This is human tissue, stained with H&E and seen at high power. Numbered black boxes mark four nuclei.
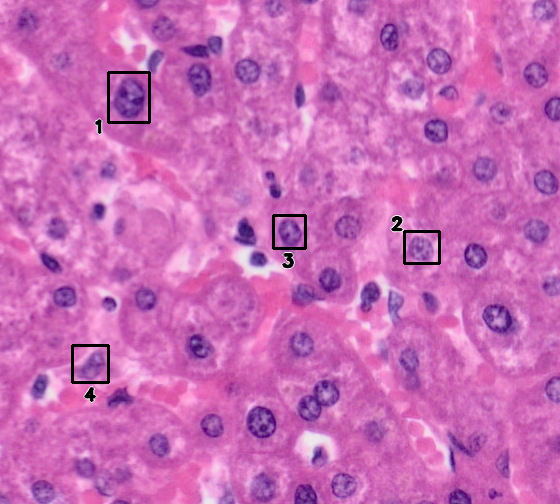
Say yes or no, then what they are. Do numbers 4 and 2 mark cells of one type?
No, cell 4 is interpreted as a Kupffer cell, and cell 2 is interpreted as a hepatocyte.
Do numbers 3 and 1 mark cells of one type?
Yes, cell number 3 and cell number 1 are both hepatocytes.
